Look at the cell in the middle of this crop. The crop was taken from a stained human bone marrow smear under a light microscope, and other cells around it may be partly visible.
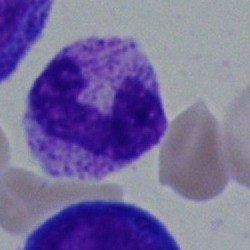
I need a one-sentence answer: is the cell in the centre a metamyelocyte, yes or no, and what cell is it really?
No, the middle cell is classified as a band neutrophil and not as a metamyelocyte.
